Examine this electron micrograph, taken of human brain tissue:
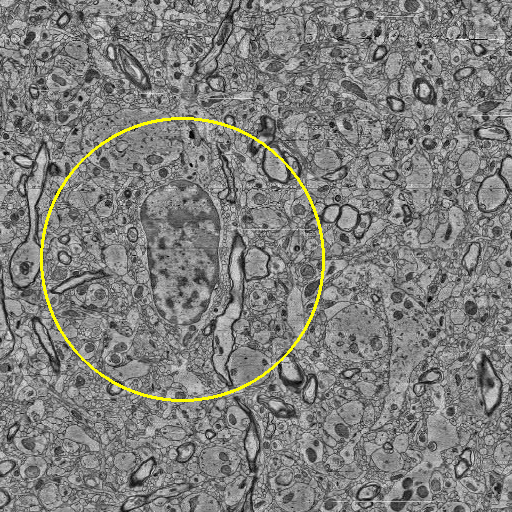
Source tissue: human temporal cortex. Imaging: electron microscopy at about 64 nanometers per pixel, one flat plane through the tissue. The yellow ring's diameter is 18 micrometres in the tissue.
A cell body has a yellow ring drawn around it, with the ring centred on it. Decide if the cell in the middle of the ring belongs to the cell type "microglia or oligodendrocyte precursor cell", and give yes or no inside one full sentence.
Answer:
Yes, the cell at the centre of the yellow ring in this picture is of that type.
